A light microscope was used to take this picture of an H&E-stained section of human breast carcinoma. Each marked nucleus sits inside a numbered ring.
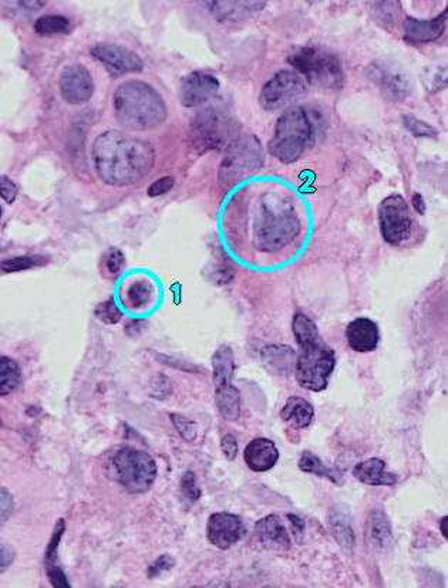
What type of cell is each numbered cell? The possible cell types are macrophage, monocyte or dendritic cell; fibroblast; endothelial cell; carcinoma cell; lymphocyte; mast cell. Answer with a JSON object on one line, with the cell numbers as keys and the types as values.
{"1": "lymphocyte", "2": "carcinoma cell"}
